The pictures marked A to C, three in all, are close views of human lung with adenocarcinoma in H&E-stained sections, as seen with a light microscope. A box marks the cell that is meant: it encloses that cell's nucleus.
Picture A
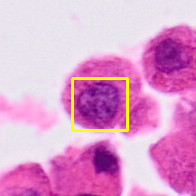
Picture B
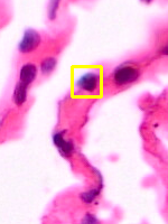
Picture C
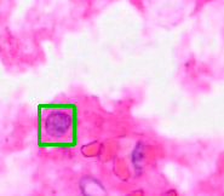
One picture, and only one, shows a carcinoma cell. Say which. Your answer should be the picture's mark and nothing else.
A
